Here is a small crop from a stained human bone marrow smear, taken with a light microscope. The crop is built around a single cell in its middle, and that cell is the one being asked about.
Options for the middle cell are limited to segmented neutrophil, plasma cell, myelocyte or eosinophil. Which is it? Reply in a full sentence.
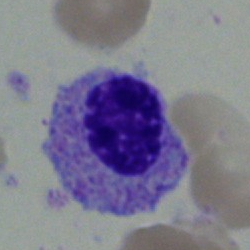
The centered cell in this crop is a myelocyte.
